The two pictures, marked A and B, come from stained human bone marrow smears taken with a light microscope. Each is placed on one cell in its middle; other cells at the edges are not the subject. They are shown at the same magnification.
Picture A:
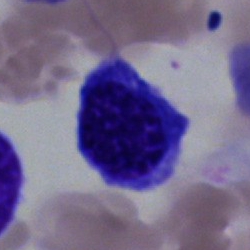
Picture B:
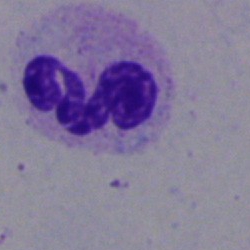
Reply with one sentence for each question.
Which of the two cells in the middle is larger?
It is the cell in picture B, about 2 times as large in area as the cell in picture A.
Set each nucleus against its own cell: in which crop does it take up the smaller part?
The nucleus fills less of the cell in picture B than in picture A.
